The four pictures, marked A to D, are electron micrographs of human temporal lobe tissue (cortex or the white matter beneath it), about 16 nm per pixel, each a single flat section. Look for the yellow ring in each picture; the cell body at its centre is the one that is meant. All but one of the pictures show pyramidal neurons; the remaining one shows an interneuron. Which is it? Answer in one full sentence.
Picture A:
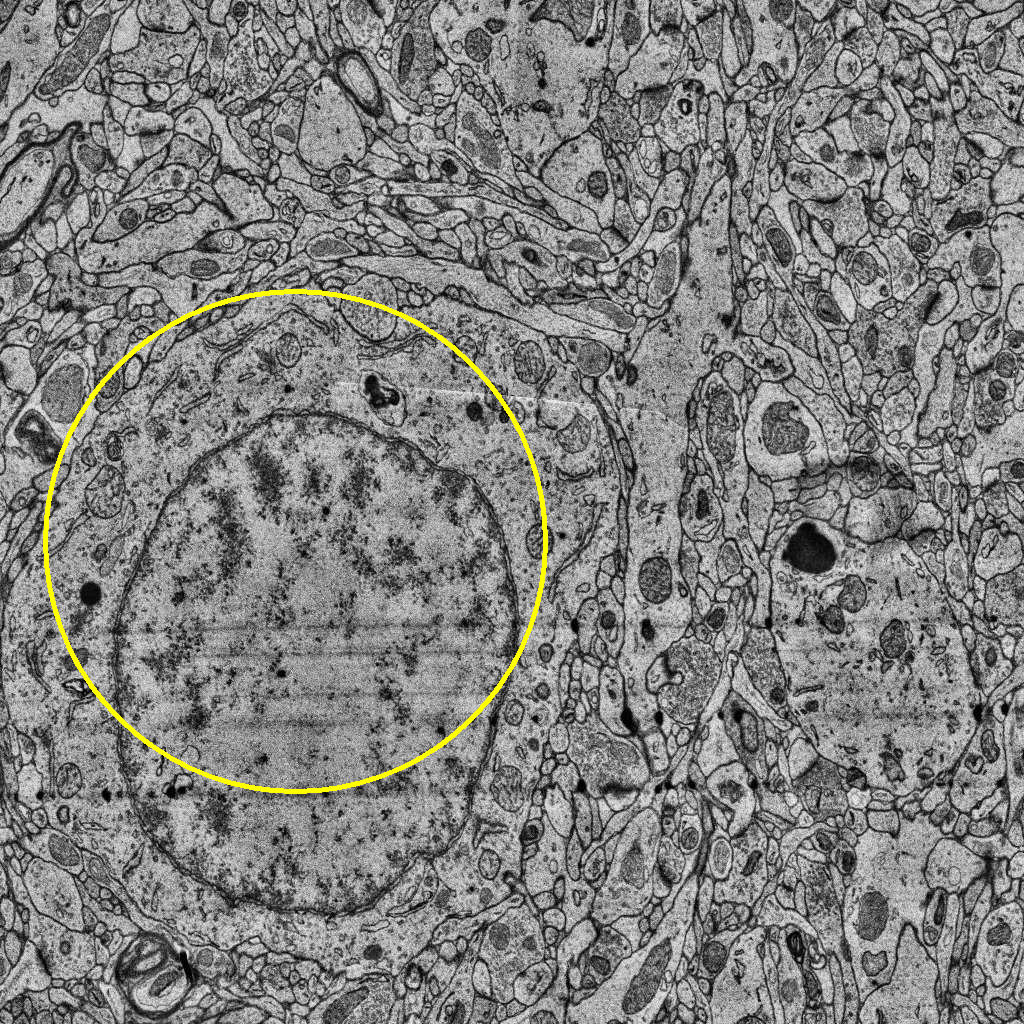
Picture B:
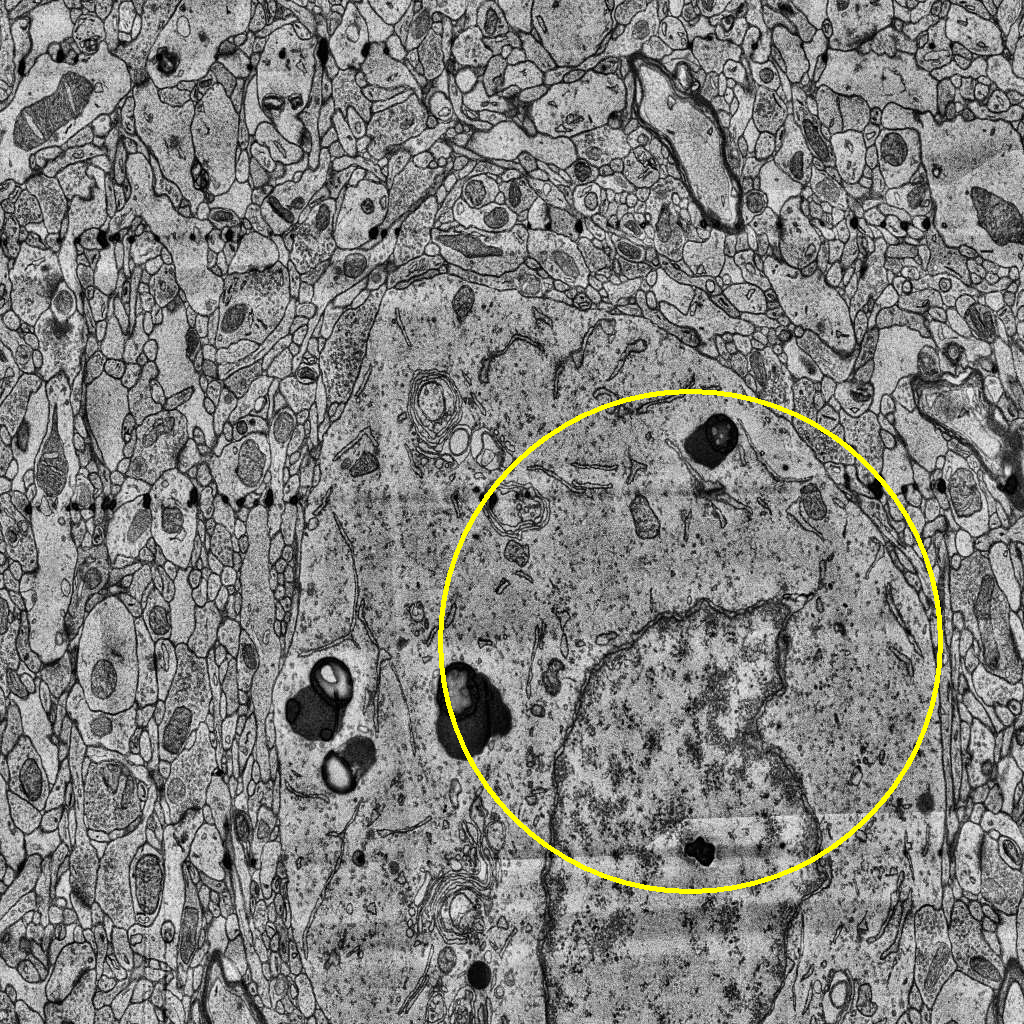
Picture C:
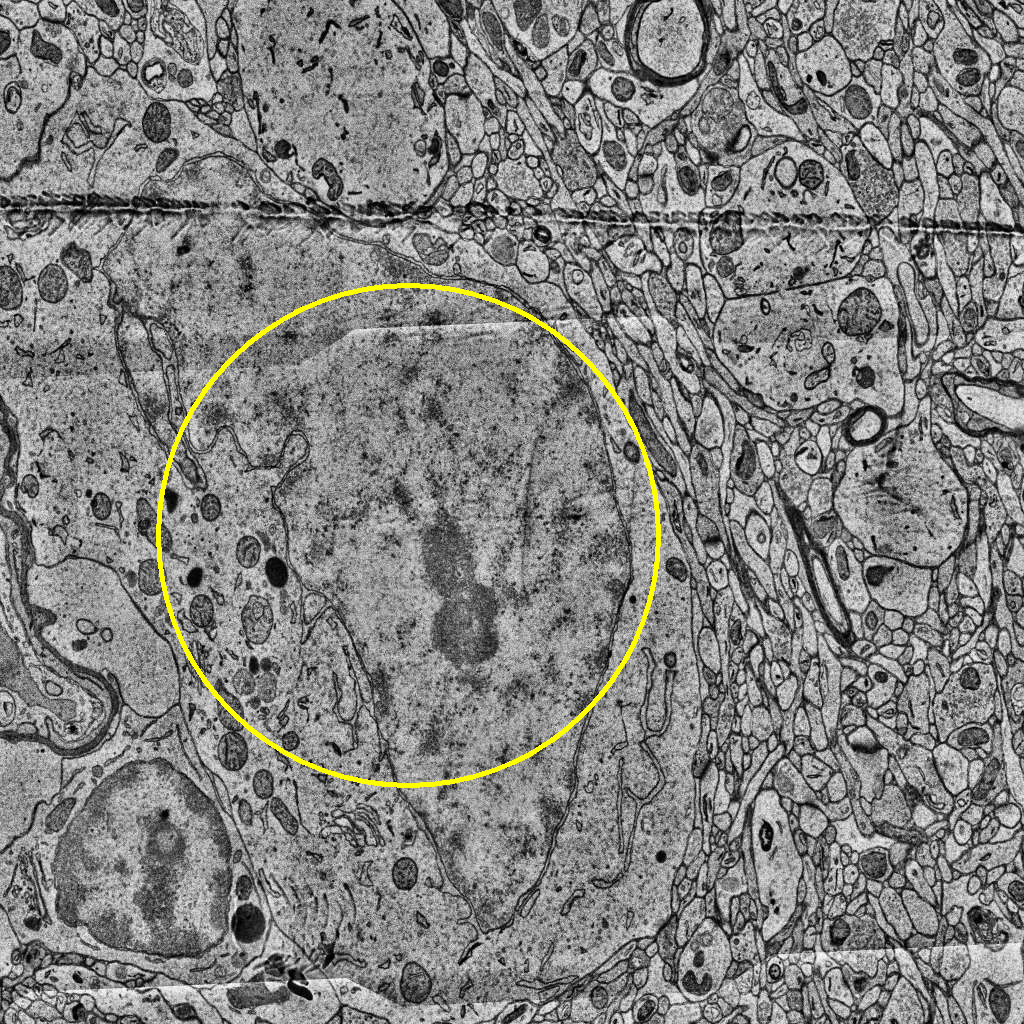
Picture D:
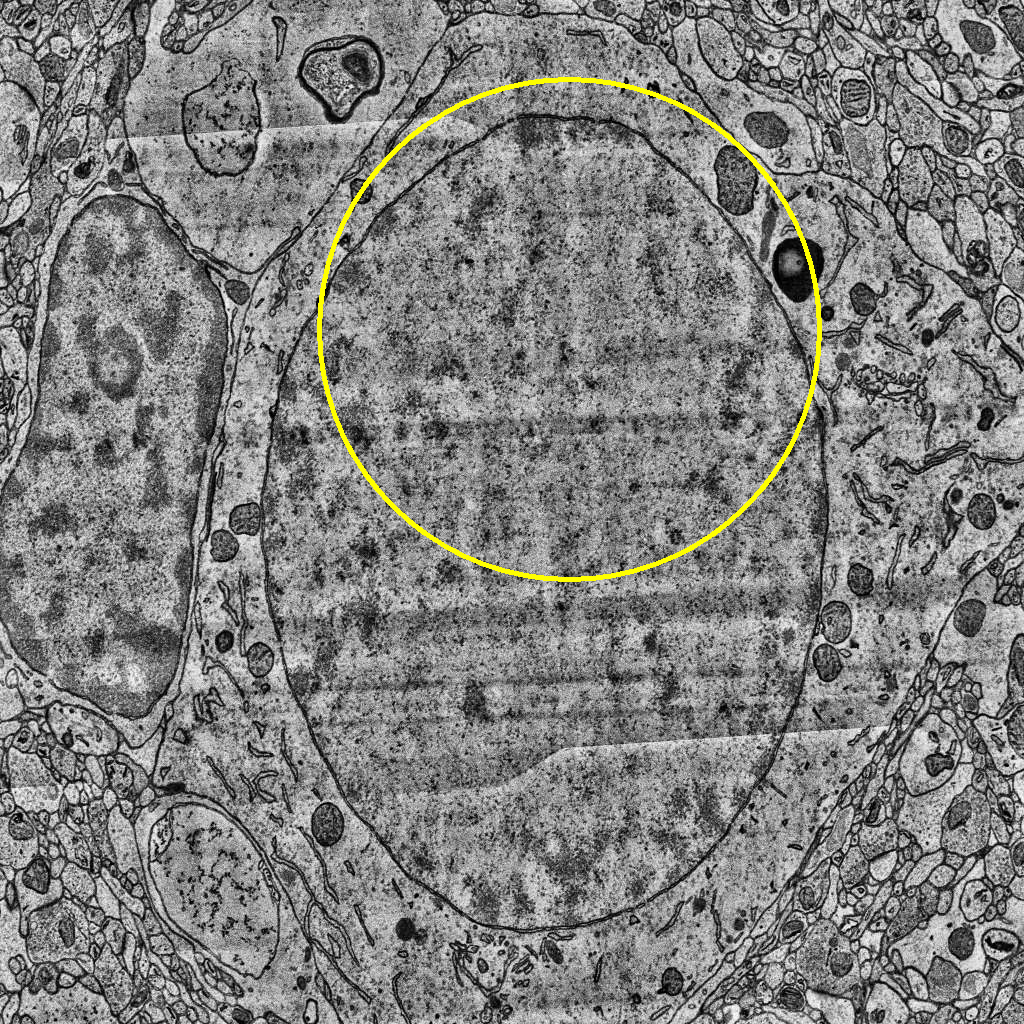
Picture C shows the interneuron.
